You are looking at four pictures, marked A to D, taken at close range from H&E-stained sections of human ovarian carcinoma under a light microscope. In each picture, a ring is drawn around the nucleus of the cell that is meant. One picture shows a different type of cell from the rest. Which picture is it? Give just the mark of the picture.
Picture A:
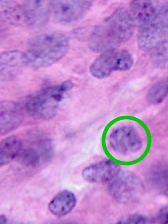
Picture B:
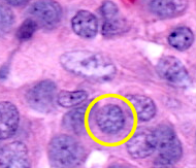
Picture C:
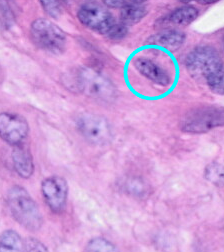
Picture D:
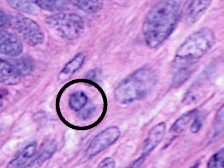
B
